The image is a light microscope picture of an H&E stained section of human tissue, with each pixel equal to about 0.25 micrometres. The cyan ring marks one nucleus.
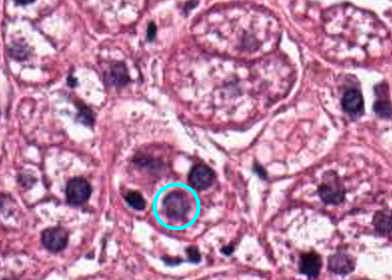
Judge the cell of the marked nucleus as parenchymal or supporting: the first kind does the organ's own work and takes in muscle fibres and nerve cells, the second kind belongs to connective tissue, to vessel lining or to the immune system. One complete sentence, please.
The marked nucleus is the nucleus of a parenchymal cell, namely an adrenal cortical cell.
